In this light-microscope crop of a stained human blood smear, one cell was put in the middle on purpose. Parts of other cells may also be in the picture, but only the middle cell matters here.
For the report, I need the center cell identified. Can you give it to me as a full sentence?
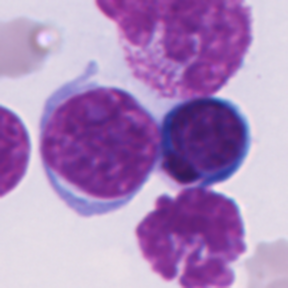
Centrally within this crop lies a blast.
